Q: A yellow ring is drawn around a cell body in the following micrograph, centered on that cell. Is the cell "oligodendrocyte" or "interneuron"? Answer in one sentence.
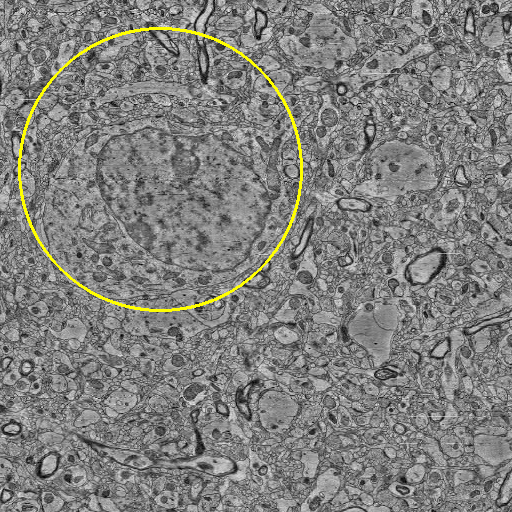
The cell in the center of the ring is an interneuron.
